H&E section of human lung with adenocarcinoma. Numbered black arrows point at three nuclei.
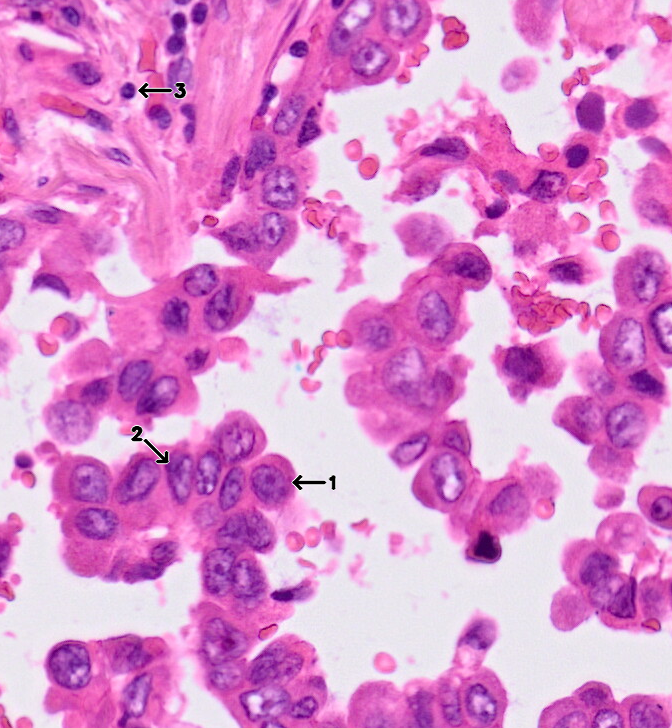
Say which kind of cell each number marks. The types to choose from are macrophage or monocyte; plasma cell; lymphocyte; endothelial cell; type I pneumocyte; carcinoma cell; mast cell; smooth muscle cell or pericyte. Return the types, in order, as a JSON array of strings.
["carcinoma cell", "carcinoma cell", "lymphocyte"]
